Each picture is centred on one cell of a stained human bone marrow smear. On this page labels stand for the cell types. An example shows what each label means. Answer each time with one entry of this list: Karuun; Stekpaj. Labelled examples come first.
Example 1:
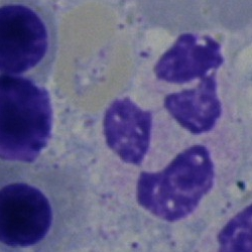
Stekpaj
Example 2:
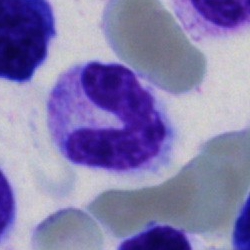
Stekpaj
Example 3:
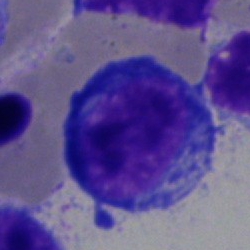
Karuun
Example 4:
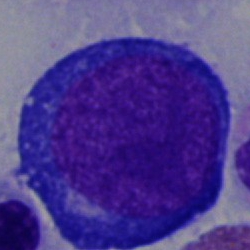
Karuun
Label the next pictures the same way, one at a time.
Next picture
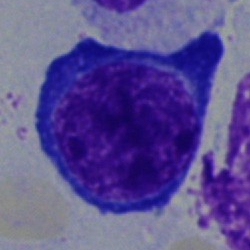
Karuun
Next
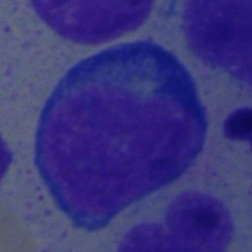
Karuun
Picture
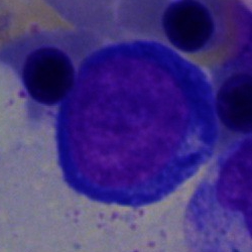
Karuun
